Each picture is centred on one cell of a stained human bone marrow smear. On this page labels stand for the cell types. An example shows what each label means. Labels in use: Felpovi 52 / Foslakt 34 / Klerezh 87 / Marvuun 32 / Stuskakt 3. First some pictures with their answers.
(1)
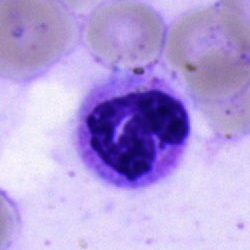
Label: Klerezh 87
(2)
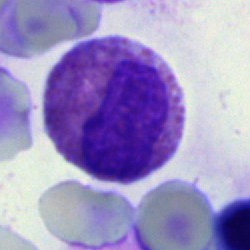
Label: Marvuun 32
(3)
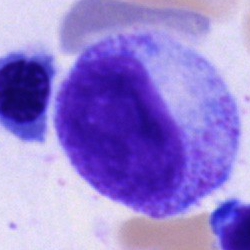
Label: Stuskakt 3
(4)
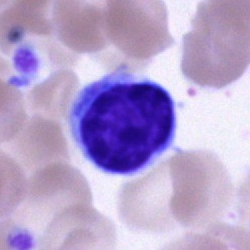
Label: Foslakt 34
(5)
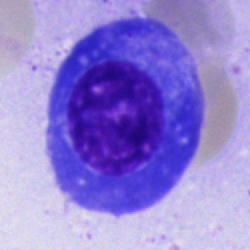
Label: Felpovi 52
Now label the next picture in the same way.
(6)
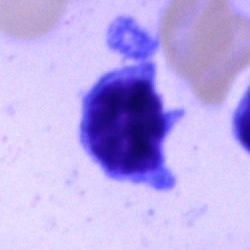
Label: Foslakt 34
